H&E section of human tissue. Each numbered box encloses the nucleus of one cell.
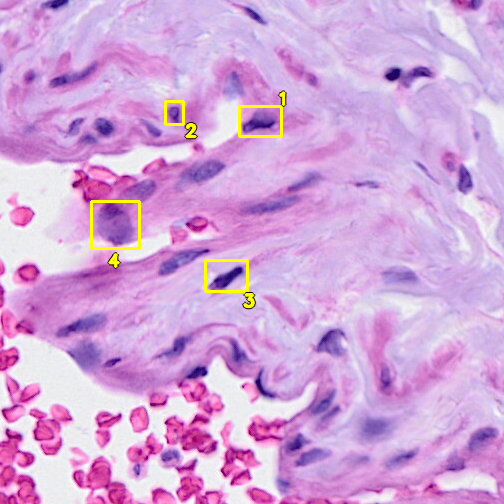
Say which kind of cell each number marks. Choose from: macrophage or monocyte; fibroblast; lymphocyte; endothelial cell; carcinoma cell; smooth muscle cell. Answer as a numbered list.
1. endothelial cell
2. smooth muscle cell
3. fibroblast
4. endothelial cell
